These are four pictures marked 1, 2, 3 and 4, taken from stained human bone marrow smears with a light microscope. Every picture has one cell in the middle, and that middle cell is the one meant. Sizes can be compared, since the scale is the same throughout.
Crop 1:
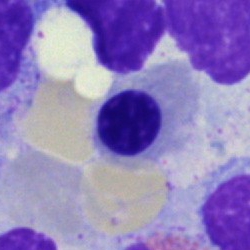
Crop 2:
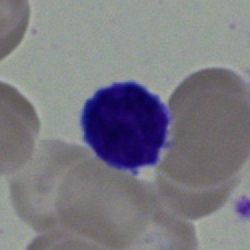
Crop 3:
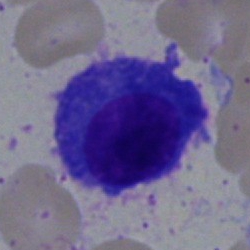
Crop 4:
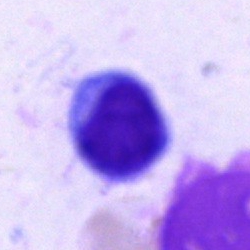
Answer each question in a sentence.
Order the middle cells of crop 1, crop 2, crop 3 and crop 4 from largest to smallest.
The order is 3, 4, 2, 1, beginning with the largest.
